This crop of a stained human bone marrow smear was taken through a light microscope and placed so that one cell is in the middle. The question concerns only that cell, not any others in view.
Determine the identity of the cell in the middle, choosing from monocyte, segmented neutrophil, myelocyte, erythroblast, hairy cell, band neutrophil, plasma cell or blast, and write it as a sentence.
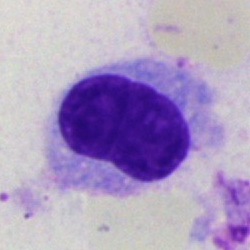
The identification for the central cell is a hairy cell.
